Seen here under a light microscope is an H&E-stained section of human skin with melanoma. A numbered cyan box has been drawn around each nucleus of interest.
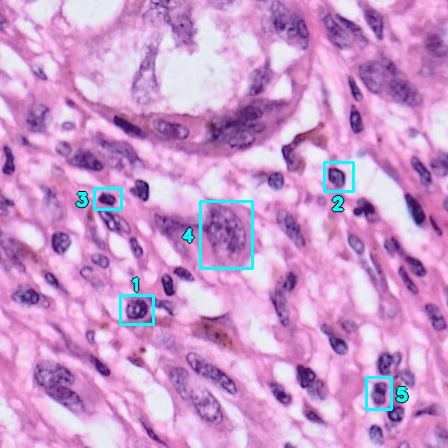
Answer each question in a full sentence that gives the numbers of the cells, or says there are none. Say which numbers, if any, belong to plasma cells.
Cell 1 is a plasma cell; every other numbered cell is something else.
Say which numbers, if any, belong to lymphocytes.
Cells 2, 3 and 5 are recognised here as lymphocytes.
